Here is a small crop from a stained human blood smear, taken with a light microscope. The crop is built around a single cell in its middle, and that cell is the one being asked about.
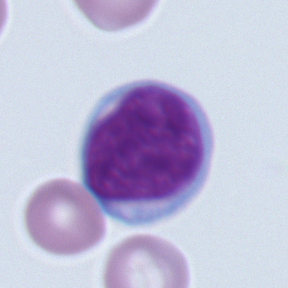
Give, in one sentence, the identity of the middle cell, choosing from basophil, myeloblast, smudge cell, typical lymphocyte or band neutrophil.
In the middle of this smear crop, the cell is a typical lymphocyte.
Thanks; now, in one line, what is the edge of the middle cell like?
There are no projections here; the outline is simply smooth.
